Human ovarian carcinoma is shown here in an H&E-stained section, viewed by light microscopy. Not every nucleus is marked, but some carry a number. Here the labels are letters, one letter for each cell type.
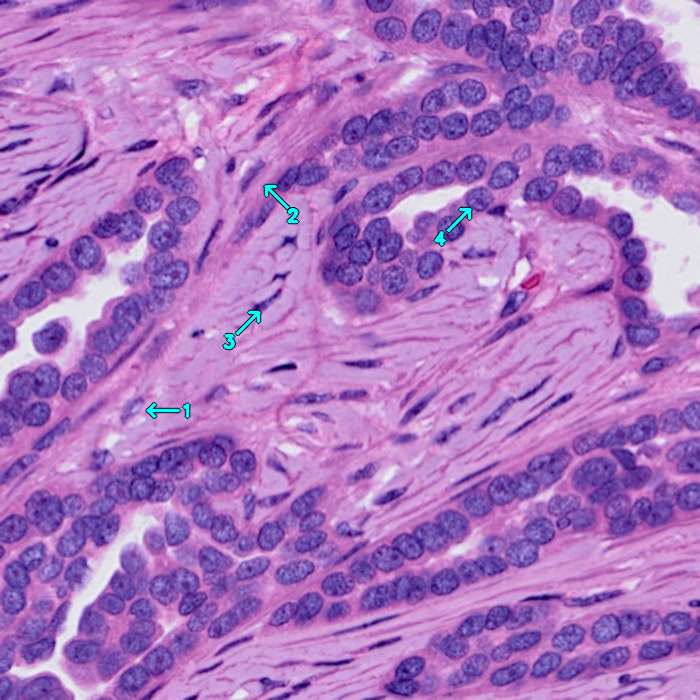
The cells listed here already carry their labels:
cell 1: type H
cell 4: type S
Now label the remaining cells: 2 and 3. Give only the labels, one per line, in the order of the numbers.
type H
type H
